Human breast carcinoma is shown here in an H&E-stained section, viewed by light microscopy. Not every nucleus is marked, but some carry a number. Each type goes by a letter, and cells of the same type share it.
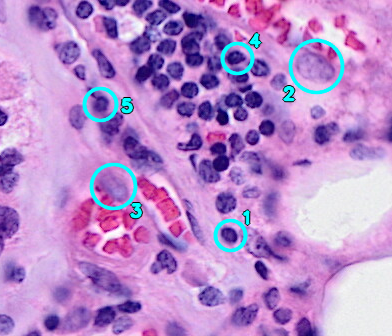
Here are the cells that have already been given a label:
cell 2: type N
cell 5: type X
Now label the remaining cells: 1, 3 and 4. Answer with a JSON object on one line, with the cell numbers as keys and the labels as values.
{"1": "type X", "3": "type N", "4": "type X"}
